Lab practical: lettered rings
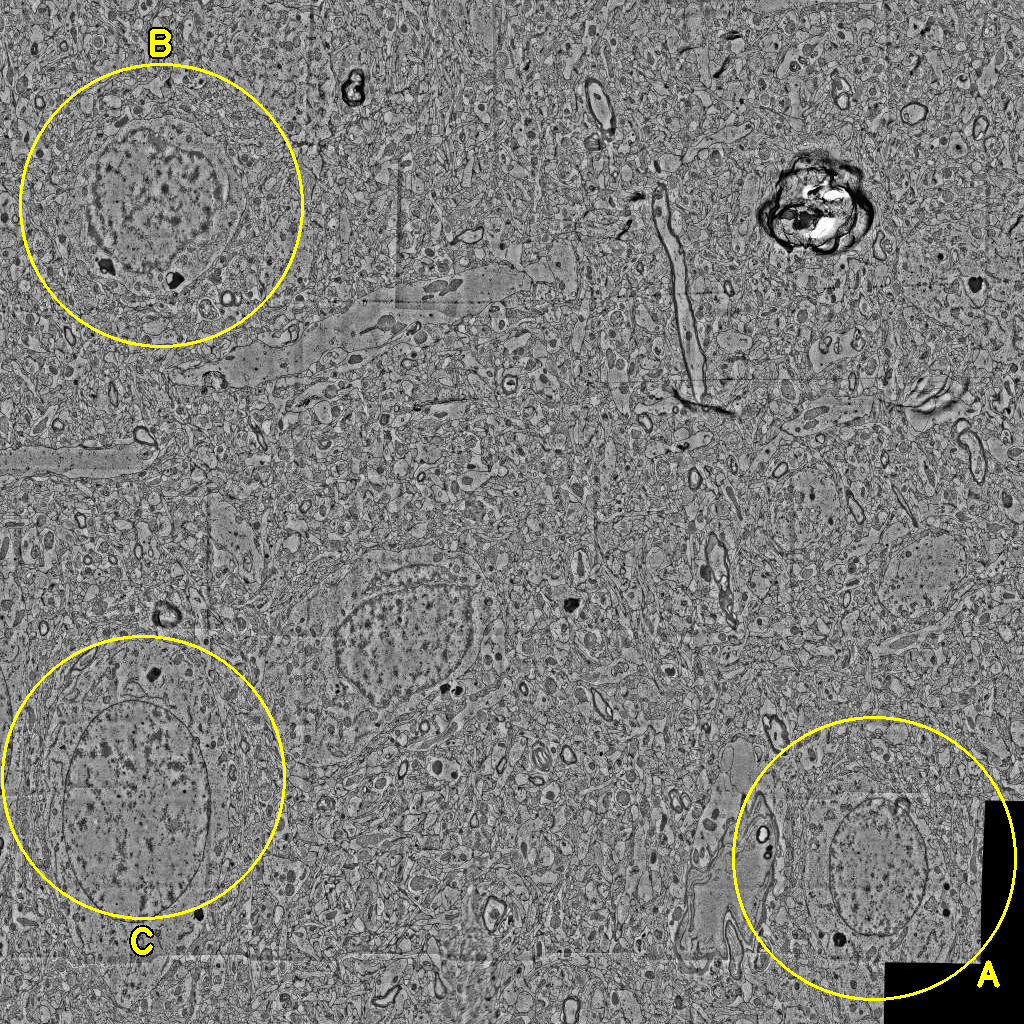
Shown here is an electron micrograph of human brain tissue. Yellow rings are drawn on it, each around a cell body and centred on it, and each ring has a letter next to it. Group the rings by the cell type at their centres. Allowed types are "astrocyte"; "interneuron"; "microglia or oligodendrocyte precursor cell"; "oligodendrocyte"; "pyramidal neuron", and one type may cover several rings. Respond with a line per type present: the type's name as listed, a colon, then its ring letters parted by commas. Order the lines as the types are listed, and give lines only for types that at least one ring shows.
interneuron: B
pyramidal neuron: A, C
